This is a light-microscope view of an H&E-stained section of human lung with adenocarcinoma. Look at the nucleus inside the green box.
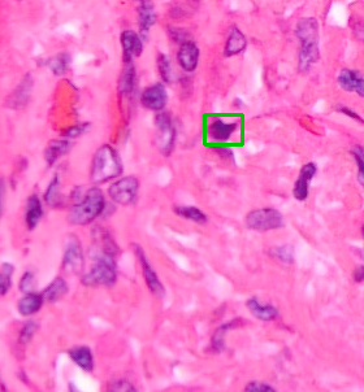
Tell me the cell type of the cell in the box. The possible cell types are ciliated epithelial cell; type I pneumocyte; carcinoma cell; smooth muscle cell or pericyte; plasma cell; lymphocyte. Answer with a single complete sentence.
With respect to cell type, the cell in the box is a plasma cell.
